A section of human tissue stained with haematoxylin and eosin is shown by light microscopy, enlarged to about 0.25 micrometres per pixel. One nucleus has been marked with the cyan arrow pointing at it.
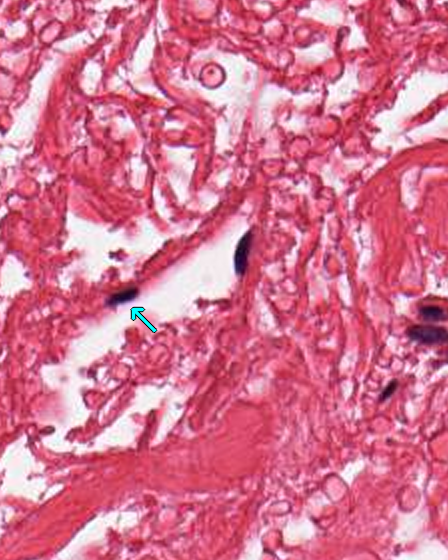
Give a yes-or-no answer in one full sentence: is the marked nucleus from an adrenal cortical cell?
No, that the marked nucleus belongs to an adrenal cortical cell does not hold; it belongs to a supporting cell.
